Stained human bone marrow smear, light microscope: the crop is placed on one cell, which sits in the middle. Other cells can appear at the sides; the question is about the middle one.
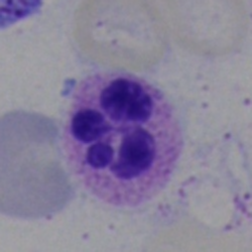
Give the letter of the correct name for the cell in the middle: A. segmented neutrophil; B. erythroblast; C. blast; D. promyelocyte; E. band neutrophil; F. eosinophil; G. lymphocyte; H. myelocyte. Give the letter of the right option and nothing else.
A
